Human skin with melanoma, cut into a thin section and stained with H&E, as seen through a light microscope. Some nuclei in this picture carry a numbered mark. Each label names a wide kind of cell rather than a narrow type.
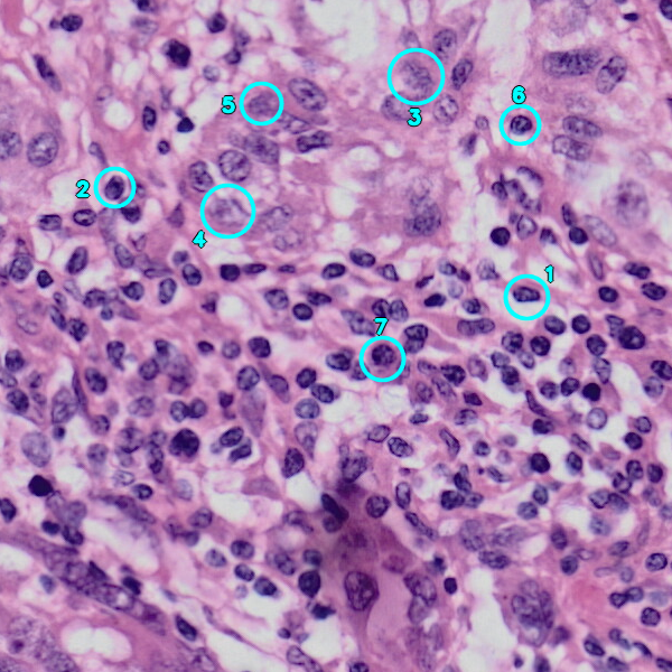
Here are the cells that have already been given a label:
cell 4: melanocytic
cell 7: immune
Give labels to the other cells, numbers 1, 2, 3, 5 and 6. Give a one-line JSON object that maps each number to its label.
{"1": "immune", "2": "immune", "3": "melanocytic", "5": "melanocytic", "6": "immune"}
